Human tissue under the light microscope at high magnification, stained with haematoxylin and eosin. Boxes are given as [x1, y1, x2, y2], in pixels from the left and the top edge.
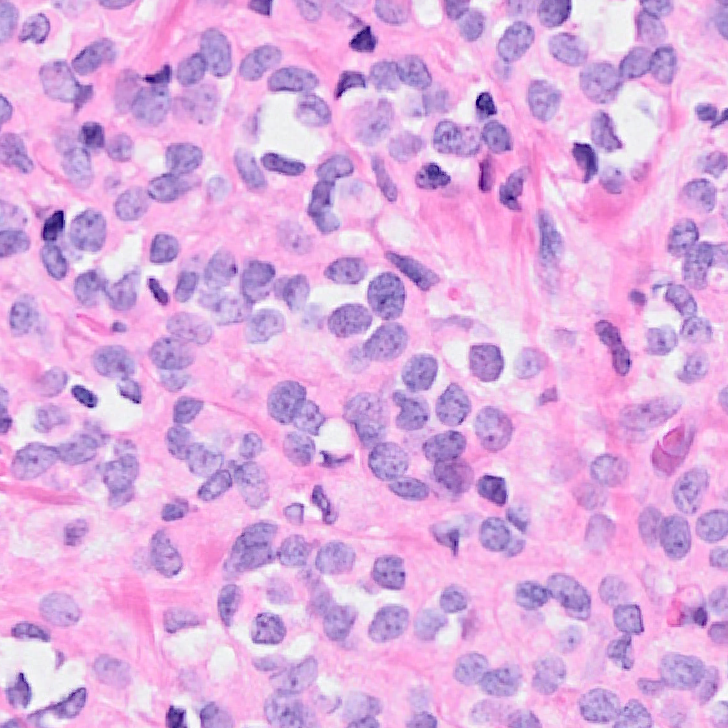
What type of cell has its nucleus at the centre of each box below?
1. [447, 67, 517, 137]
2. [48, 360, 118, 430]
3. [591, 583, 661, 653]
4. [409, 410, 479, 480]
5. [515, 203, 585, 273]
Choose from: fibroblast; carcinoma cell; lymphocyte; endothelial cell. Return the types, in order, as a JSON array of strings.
["lymphocyte", "lymphocyte", "carcinoma cell", "carcinoma cell", "fibroblast"]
